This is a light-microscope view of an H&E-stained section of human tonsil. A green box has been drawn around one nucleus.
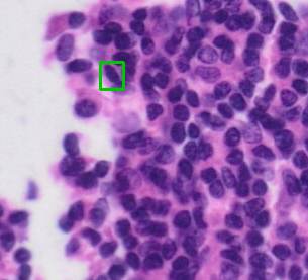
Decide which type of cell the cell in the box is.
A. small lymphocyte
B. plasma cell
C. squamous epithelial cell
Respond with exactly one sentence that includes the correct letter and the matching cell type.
Settle on option A; the cell in the box is a small lymphocyte.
